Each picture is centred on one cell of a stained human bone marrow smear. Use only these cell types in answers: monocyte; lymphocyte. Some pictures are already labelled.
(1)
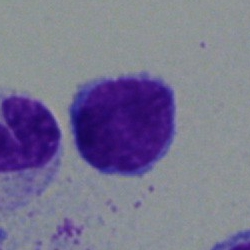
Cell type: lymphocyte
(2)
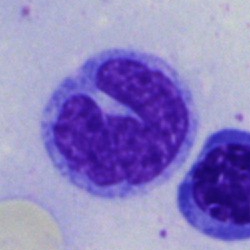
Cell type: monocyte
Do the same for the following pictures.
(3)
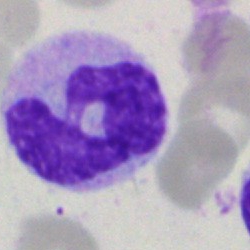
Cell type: monocyte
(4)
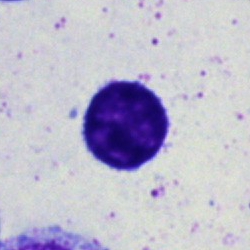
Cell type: lymphocyte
